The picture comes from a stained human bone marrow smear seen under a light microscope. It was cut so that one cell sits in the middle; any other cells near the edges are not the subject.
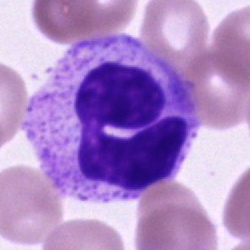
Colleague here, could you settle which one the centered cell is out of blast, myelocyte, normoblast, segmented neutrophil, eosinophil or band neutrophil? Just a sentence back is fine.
As for the central cell, it is a segmented neutrophil.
